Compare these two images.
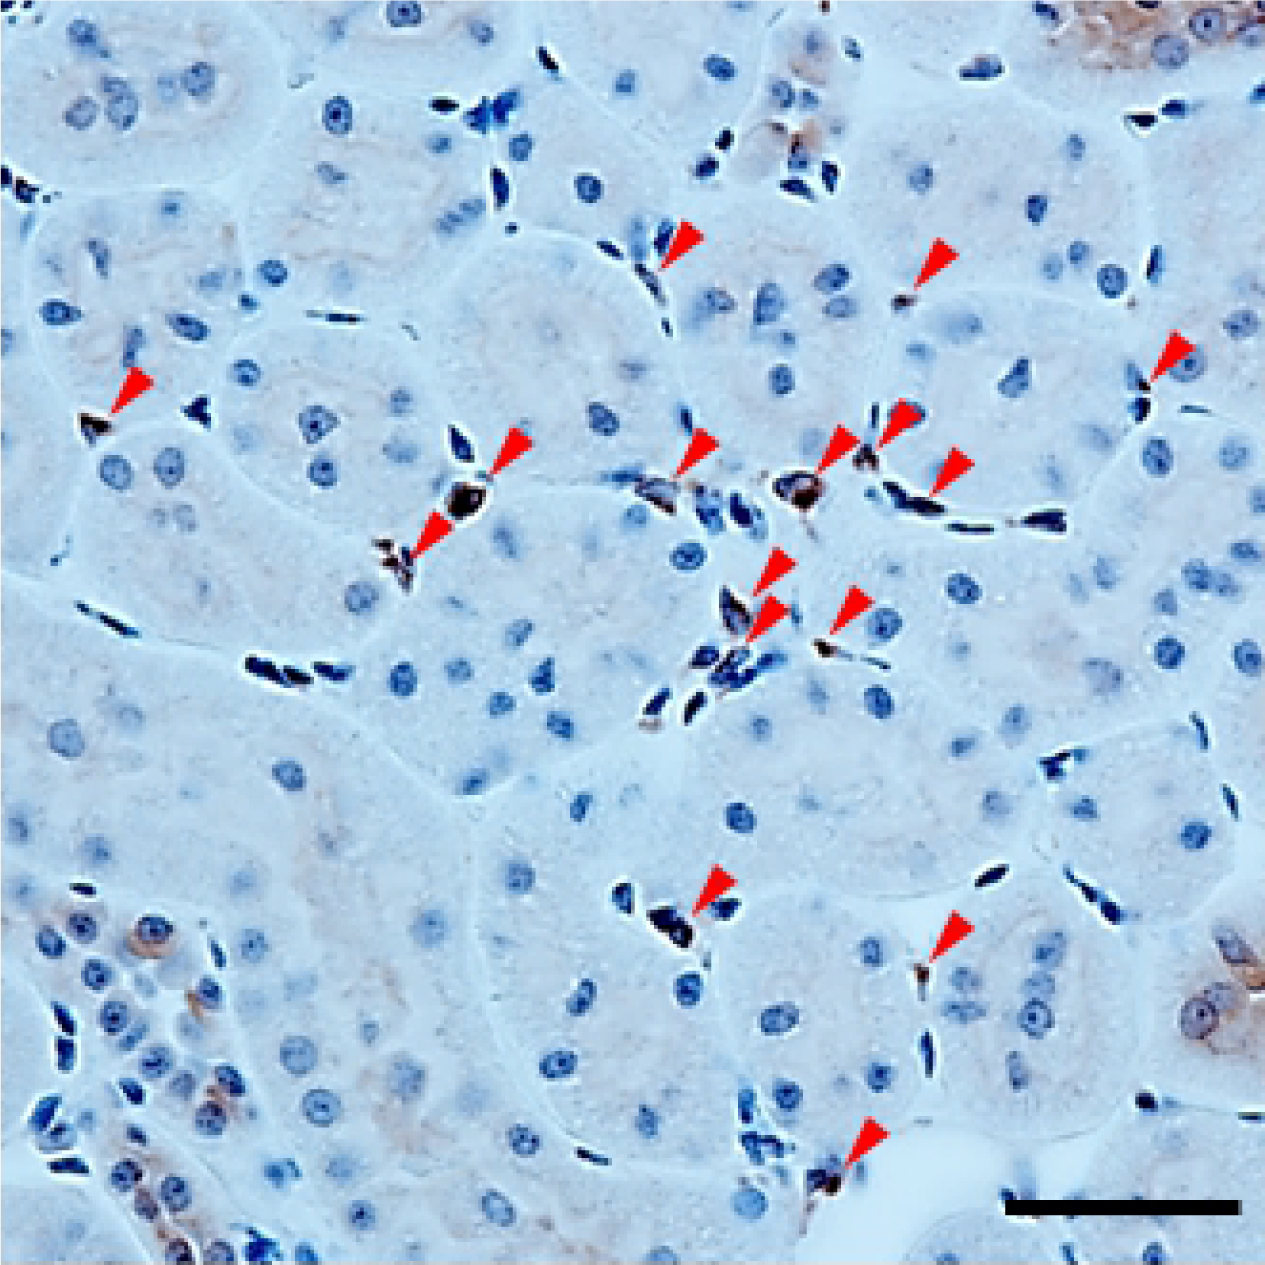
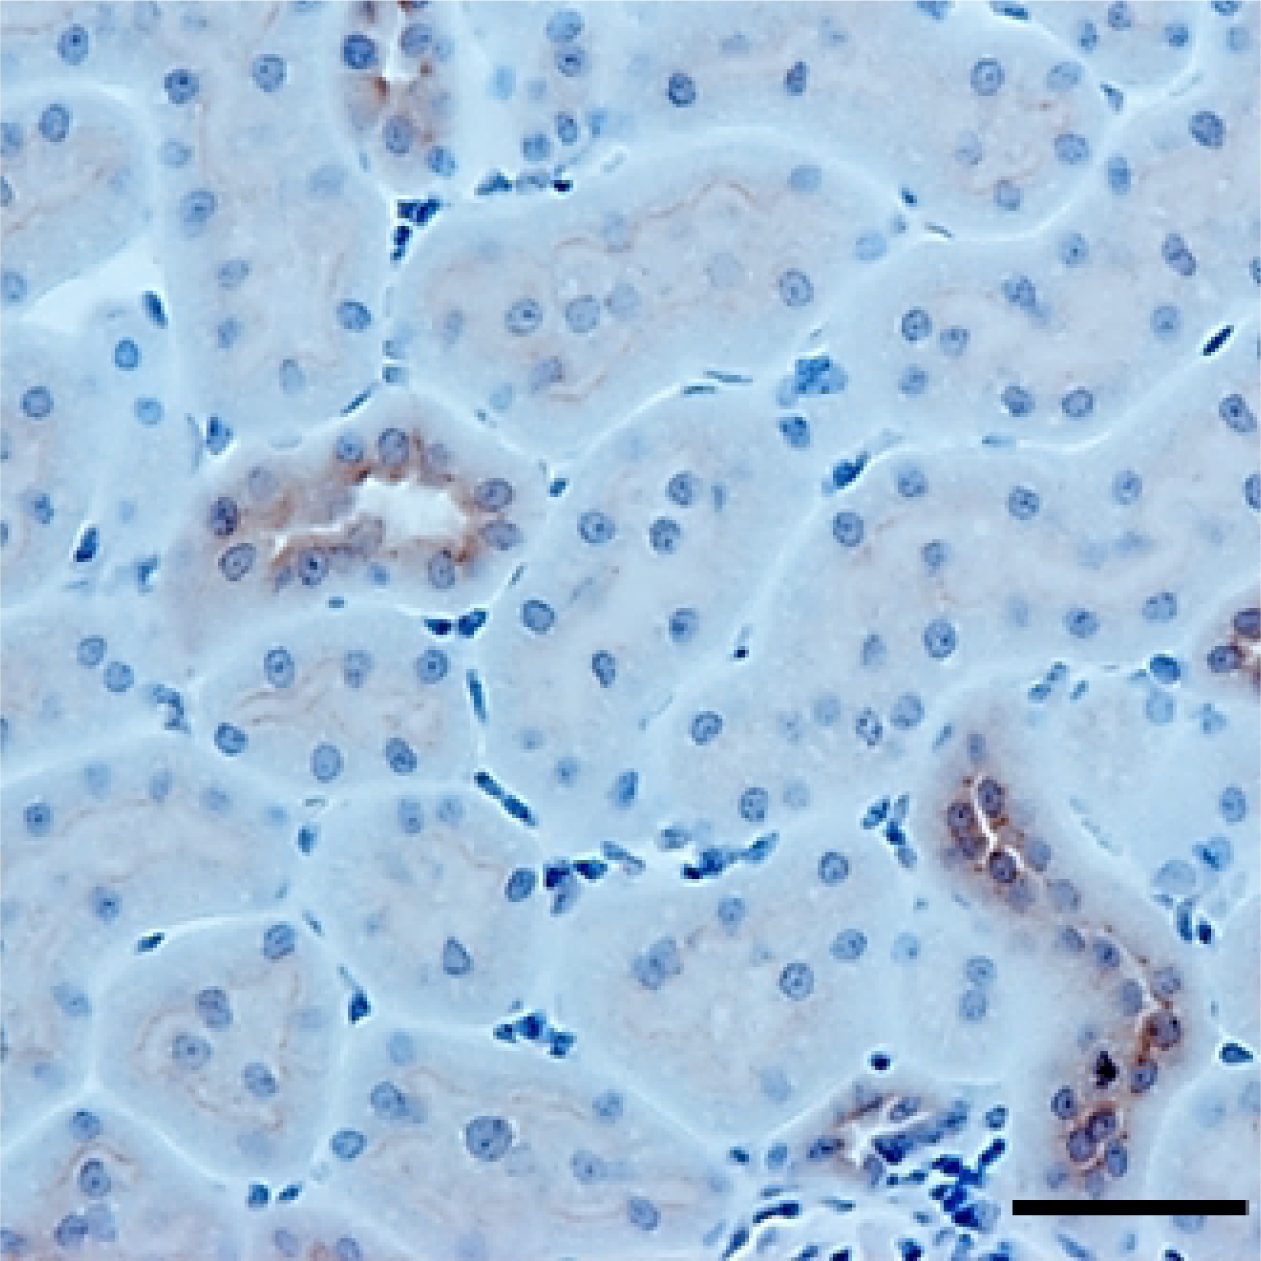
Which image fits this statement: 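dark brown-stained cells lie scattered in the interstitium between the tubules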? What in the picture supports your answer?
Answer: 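The first image. First image: many small interstitial cells between tubules are dark brown. Second image: the interstitial cells between tubules have blue nuclei with no brown stain; brown is confined to some tubules.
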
